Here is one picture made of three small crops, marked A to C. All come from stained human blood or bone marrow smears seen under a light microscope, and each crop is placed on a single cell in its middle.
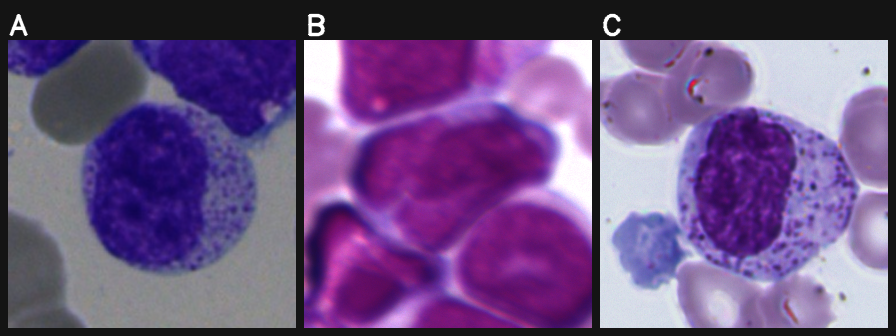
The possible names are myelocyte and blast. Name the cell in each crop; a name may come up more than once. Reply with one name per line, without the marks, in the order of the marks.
myelocyte
blast
myelocyte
